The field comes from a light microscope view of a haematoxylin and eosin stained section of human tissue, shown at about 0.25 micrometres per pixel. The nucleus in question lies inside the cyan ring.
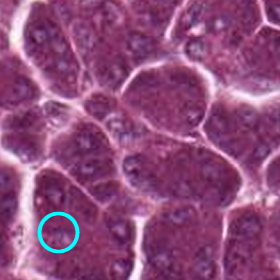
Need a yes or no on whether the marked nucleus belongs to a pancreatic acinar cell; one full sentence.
Yes, the marked nucleus represents the nucleus of a pancreatic acinar cell.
